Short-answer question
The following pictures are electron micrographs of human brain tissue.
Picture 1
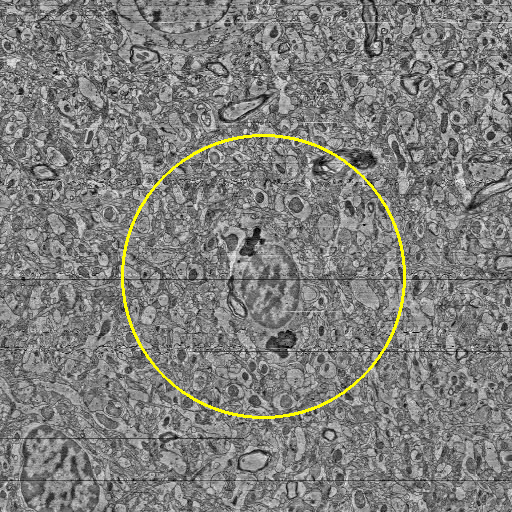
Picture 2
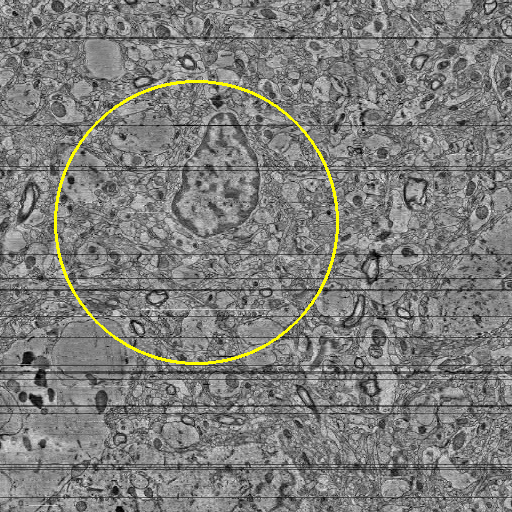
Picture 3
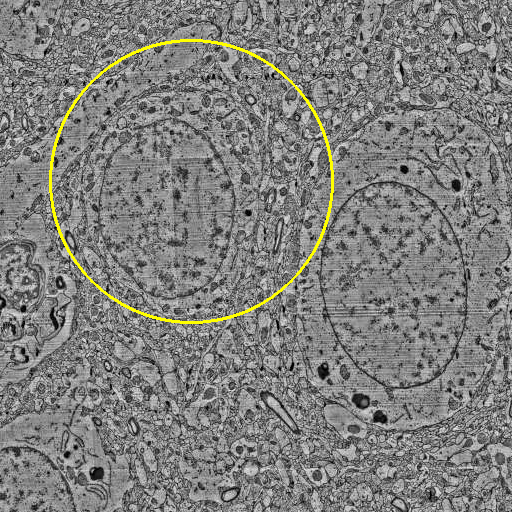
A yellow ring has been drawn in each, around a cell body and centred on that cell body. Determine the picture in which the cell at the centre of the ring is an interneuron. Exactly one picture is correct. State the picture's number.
3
